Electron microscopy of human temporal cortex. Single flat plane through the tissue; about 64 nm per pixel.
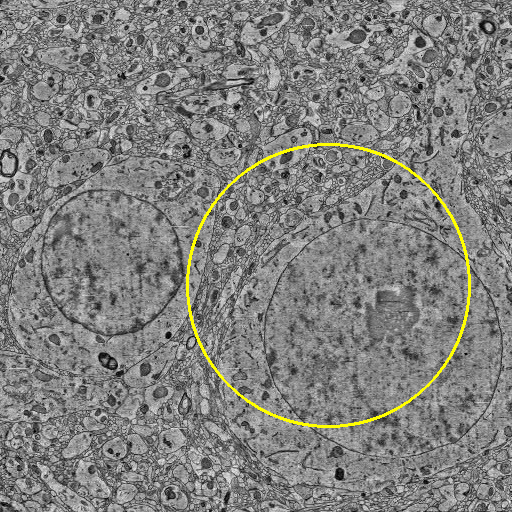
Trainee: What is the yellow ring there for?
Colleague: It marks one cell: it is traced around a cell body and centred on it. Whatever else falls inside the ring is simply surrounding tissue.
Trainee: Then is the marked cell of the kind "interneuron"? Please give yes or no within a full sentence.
No, the marked cell at the centre of the yellow ring is of a different kind.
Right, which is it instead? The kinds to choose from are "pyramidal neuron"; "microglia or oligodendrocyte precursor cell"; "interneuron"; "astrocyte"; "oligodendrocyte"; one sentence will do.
The cell marked by the ring is a pyramidal neuron.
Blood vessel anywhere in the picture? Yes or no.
No, no blood vessel shows in the picture.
